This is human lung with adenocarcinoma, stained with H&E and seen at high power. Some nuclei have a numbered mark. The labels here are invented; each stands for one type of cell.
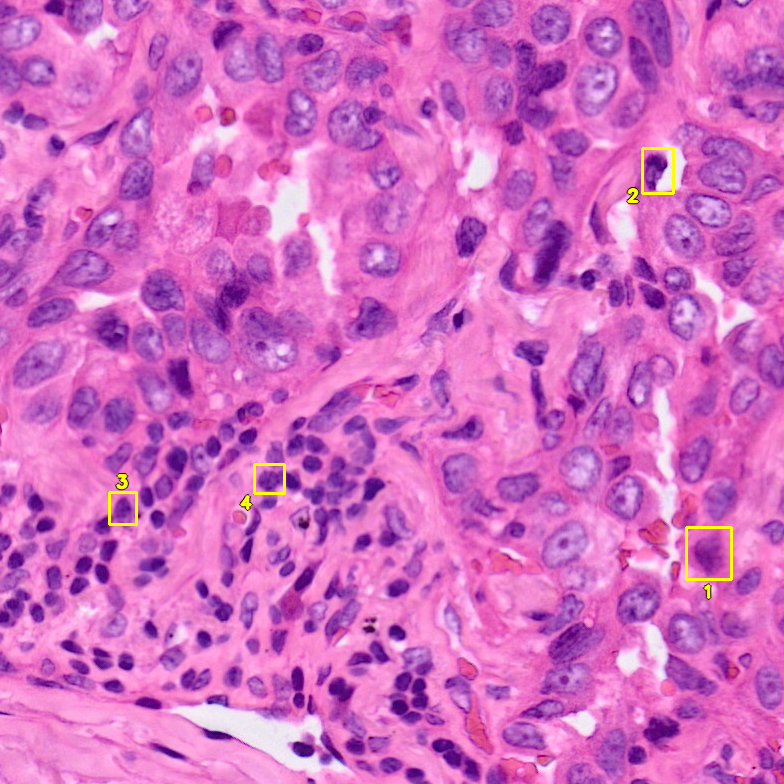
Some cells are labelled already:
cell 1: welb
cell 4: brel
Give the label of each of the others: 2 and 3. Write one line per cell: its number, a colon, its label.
2: welb
3: brel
